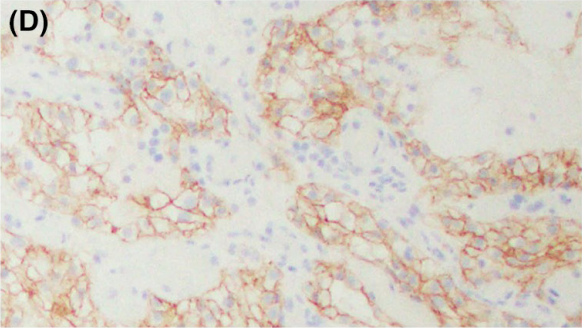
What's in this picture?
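The brown lines trace the outlines of the cells, forming a fine net-like or chicken-wire pattern, while the cell interiors remain pale. The nuclei are small and blue, and the stroma between the nests stays unstained.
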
